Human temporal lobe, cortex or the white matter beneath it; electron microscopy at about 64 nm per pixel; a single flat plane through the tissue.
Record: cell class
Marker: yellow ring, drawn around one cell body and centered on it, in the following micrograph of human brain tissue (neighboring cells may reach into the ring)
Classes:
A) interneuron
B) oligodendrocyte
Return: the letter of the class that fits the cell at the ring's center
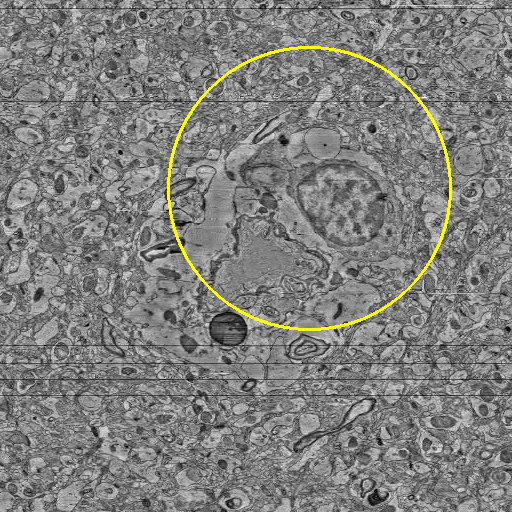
B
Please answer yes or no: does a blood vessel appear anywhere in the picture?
Yes, one shows.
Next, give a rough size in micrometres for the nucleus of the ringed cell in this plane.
In this plane the nucleus measures roughly 6 by 5 micrometers.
